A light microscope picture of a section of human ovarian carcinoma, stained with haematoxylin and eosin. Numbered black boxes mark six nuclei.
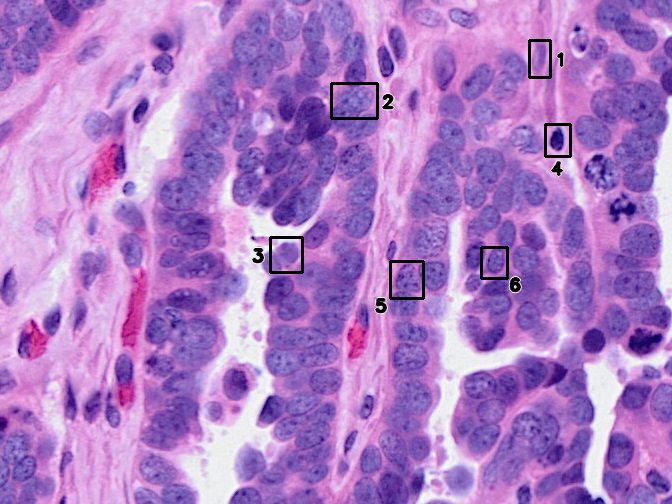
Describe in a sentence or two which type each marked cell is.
Cell 1 is a fibroblast, cell 2 is a carcinoma cell, cell 3 is a carcinoma cell, cell 4 is a lymphocyte, cell 5 is a carcinoma cell and cell 6 is a carcinoma cell.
